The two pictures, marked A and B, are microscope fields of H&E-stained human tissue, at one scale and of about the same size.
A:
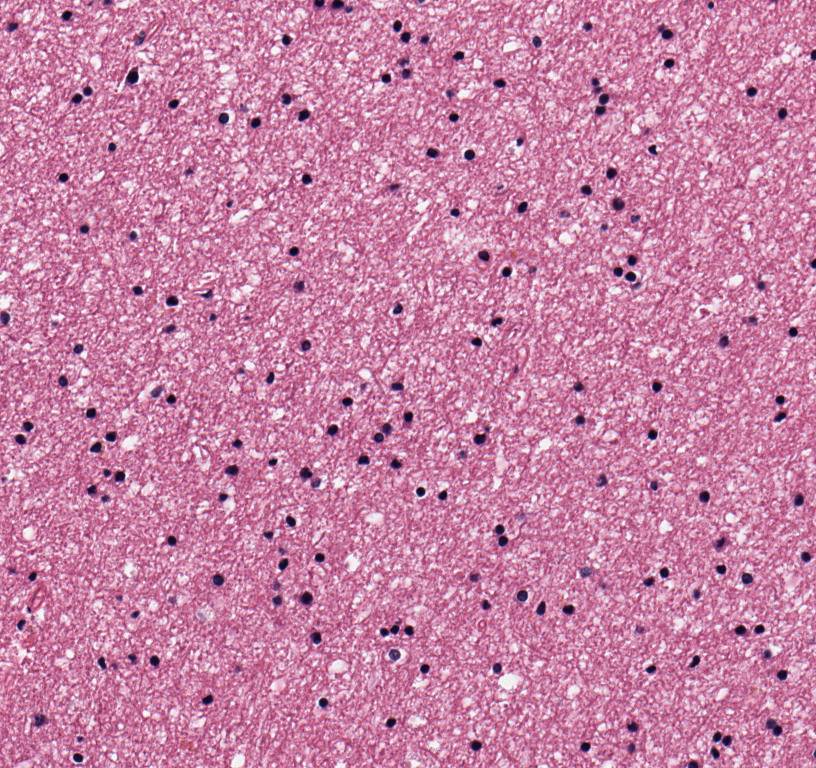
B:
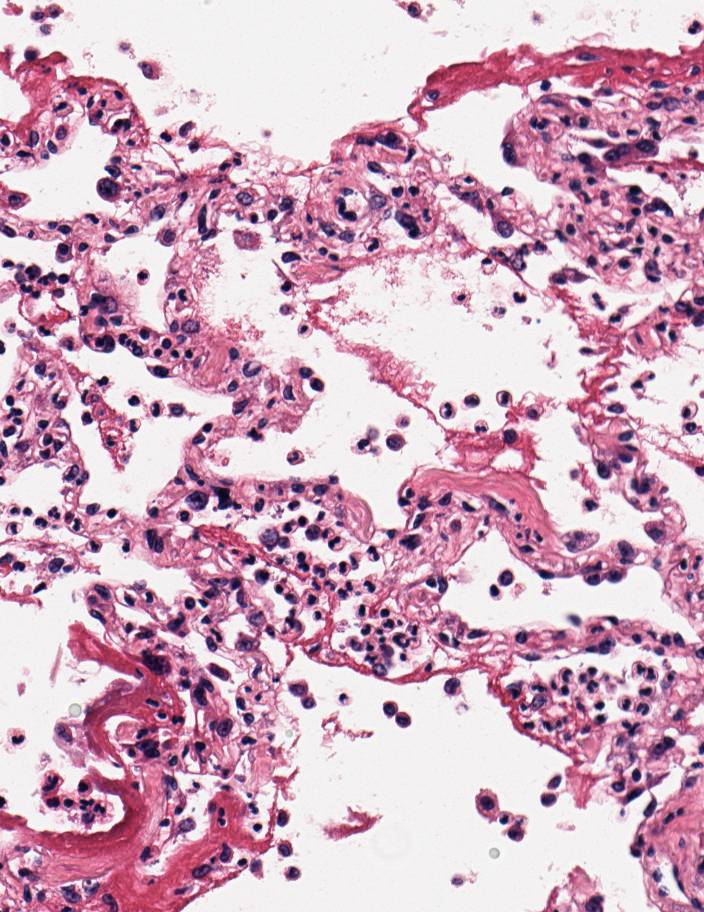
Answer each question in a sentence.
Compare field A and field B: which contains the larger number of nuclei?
More nuclei lie in field B than in field A.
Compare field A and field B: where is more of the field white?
It is field B in which white space covers the larger part.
